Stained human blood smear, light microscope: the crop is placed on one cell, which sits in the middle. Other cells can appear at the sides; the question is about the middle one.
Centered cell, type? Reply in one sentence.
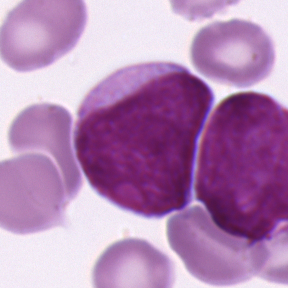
Whatever else lies nearby, the middle cell is a myeloblast.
